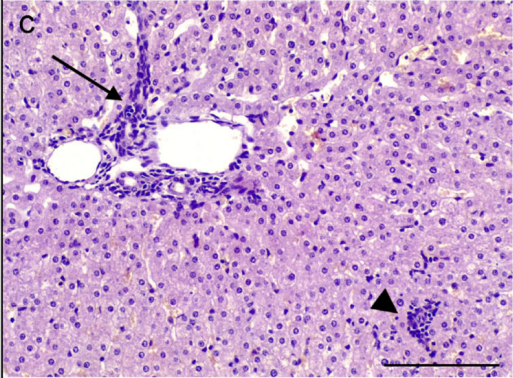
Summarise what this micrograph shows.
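Liver with mild non-purulent hepatitis. In the upper left lies a portal area with two rounded empty vessel lumens in a thin band of connective tissue, in which small cells with round dark nuclei are more numerous than usual. The remaining field is hepatic parenchyma: polygonal hepatocytes with pale violet cytoplasm and round central nuclei, in plates separated by sinusoids. In the lower right, a small, compact cluster of dark-nucleated inflammatory cells lies among the hepatocyte plates.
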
